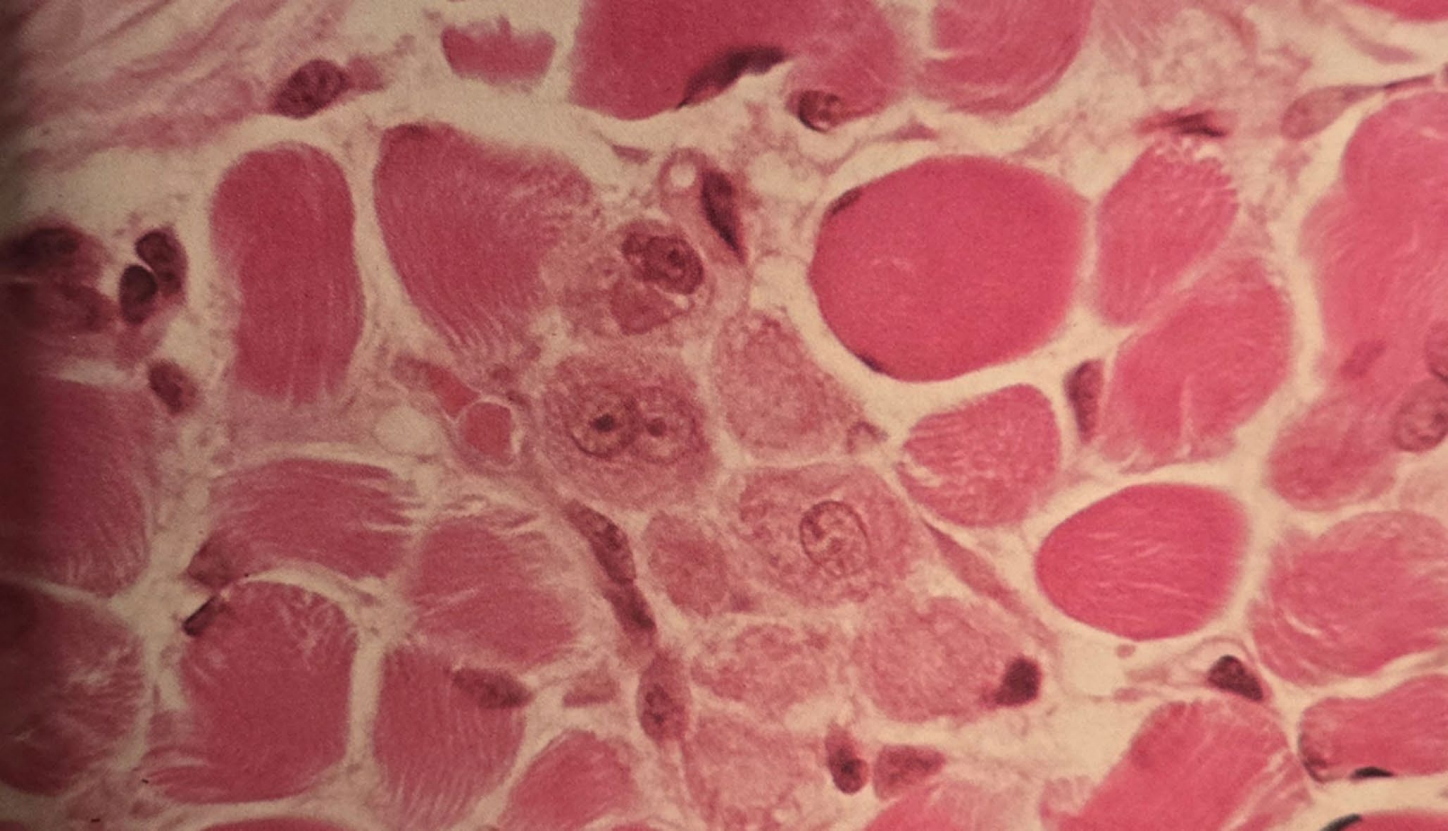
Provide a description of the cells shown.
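This cross section of skeletal muscle shows a cluster of regenerating fibres lying among normal-looking fibres. The regenerating fibres in the centre are paler, with loose, finely granular pinkish-lilac cytoplasm, in contrast to the dense, deep pink cytoplasm of the surrounding fibres. Within them lie large, round, pale vesicular nuclei with prominent dark nucleoli, placed well inside the fibre rather than at its edge. The surrounding fibres are of varying size and rounded to polygonal outline, with small dark flattened nuclei at their margins. The spaces between fibres are widened and hold scattered small dark nuclei.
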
